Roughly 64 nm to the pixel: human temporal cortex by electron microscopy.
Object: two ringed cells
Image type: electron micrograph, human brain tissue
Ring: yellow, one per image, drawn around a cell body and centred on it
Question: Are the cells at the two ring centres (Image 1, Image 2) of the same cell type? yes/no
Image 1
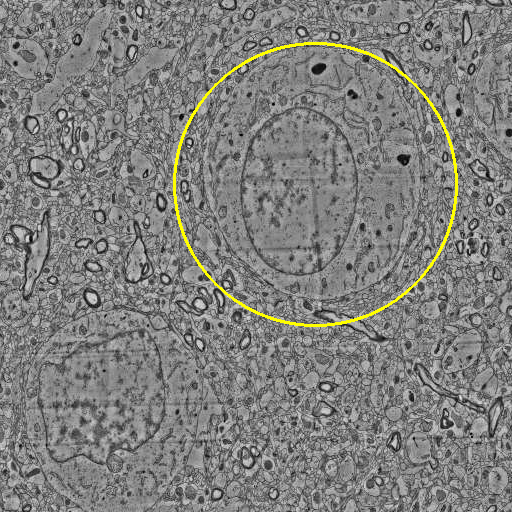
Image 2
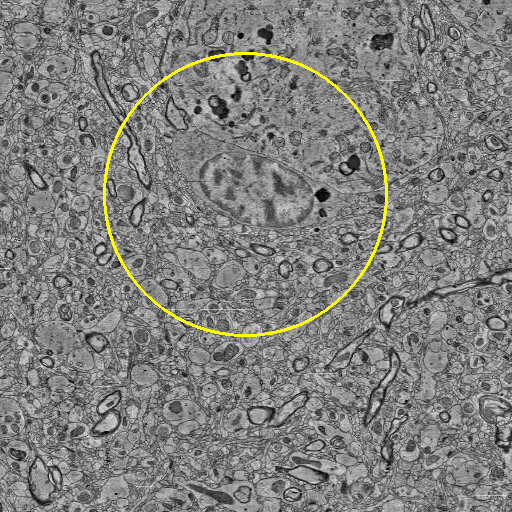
no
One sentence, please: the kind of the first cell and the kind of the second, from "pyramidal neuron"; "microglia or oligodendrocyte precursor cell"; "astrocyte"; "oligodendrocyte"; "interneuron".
The ring in the first picture surrounds a pyramidal neuron, and the ring in the second surrounds an oligodendrocyte.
